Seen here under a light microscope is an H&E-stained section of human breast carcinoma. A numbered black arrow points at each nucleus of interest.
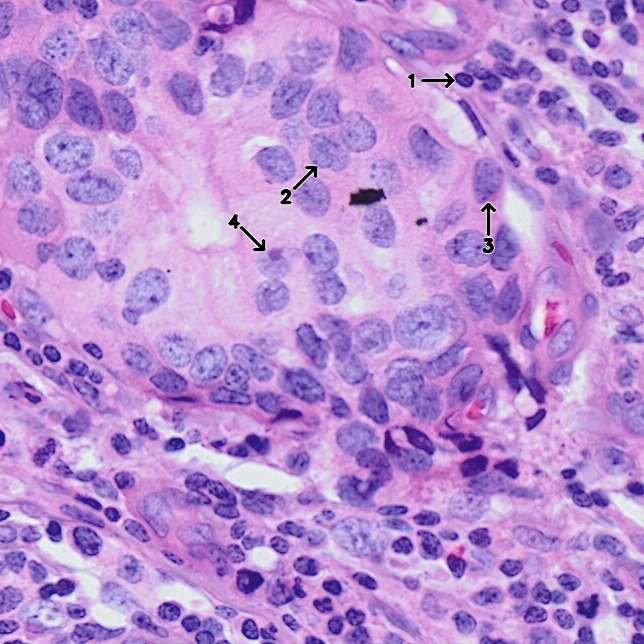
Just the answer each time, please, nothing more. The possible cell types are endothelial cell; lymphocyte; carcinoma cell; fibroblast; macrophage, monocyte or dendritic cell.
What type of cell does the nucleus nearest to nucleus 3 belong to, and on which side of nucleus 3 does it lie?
a lymphocyte, above and to the right of nucleus 3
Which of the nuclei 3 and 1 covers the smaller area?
1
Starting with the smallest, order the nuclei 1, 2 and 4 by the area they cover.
1, 4, 2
